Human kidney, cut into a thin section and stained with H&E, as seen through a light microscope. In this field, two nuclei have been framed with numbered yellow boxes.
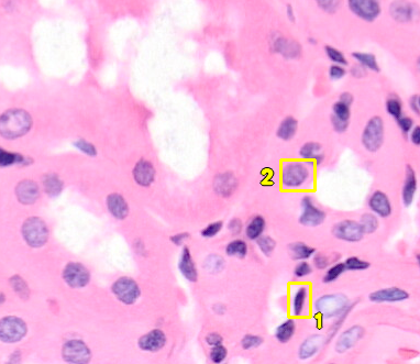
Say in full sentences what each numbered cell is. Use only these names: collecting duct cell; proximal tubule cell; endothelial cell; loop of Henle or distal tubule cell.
Cell 1 is an endothelial cell. Cell 2 is a collecting duct cell.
